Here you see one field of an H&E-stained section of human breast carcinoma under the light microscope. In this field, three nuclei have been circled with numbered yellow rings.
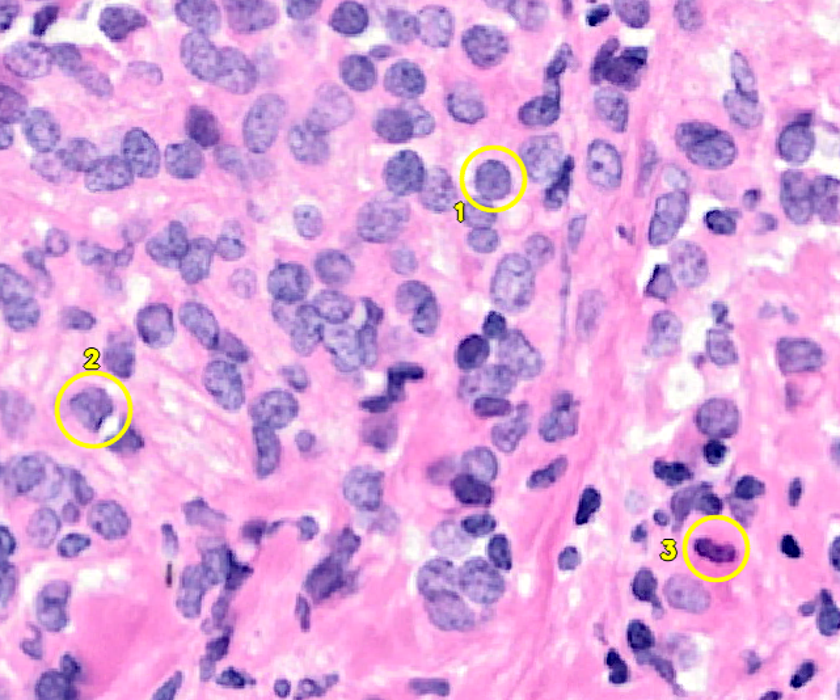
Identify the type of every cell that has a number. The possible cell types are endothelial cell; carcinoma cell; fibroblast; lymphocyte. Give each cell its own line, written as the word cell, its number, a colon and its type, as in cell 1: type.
cell 1: carcinoma cell
cell 2: carcinoma cell
cell 3: lymphocyte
